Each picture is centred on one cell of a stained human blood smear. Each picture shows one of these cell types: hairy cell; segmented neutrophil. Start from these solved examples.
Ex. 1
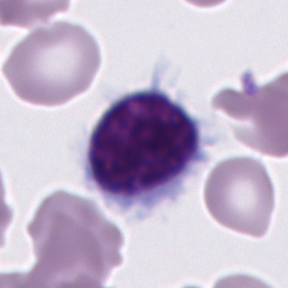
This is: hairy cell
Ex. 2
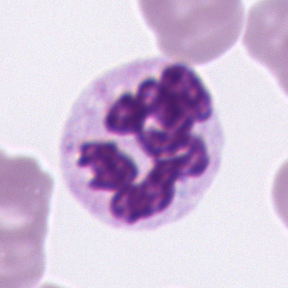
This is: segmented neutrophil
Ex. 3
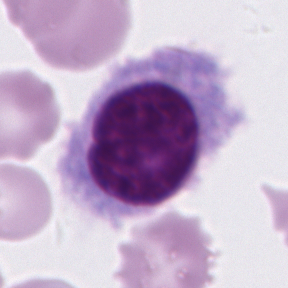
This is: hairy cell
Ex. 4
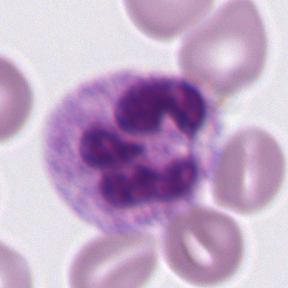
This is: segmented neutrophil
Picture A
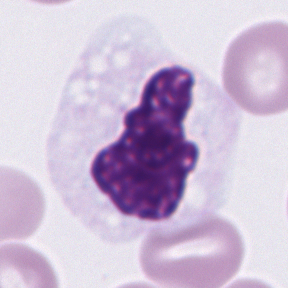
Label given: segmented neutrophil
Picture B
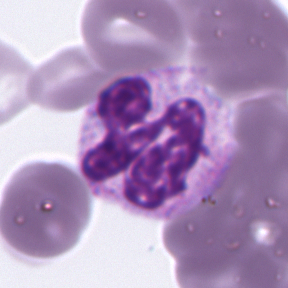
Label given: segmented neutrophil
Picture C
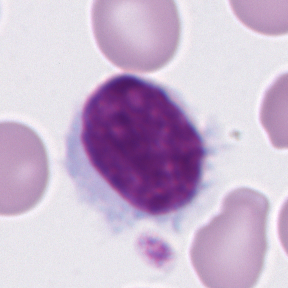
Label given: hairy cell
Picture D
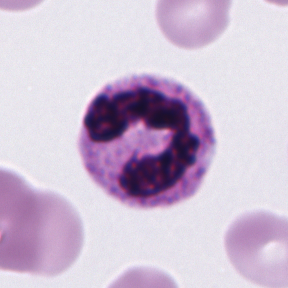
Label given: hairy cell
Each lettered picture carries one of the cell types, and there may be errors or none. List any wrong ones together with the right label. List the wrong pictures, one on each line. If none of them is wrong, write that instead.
D: not hairy cell but segmented neutrophil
